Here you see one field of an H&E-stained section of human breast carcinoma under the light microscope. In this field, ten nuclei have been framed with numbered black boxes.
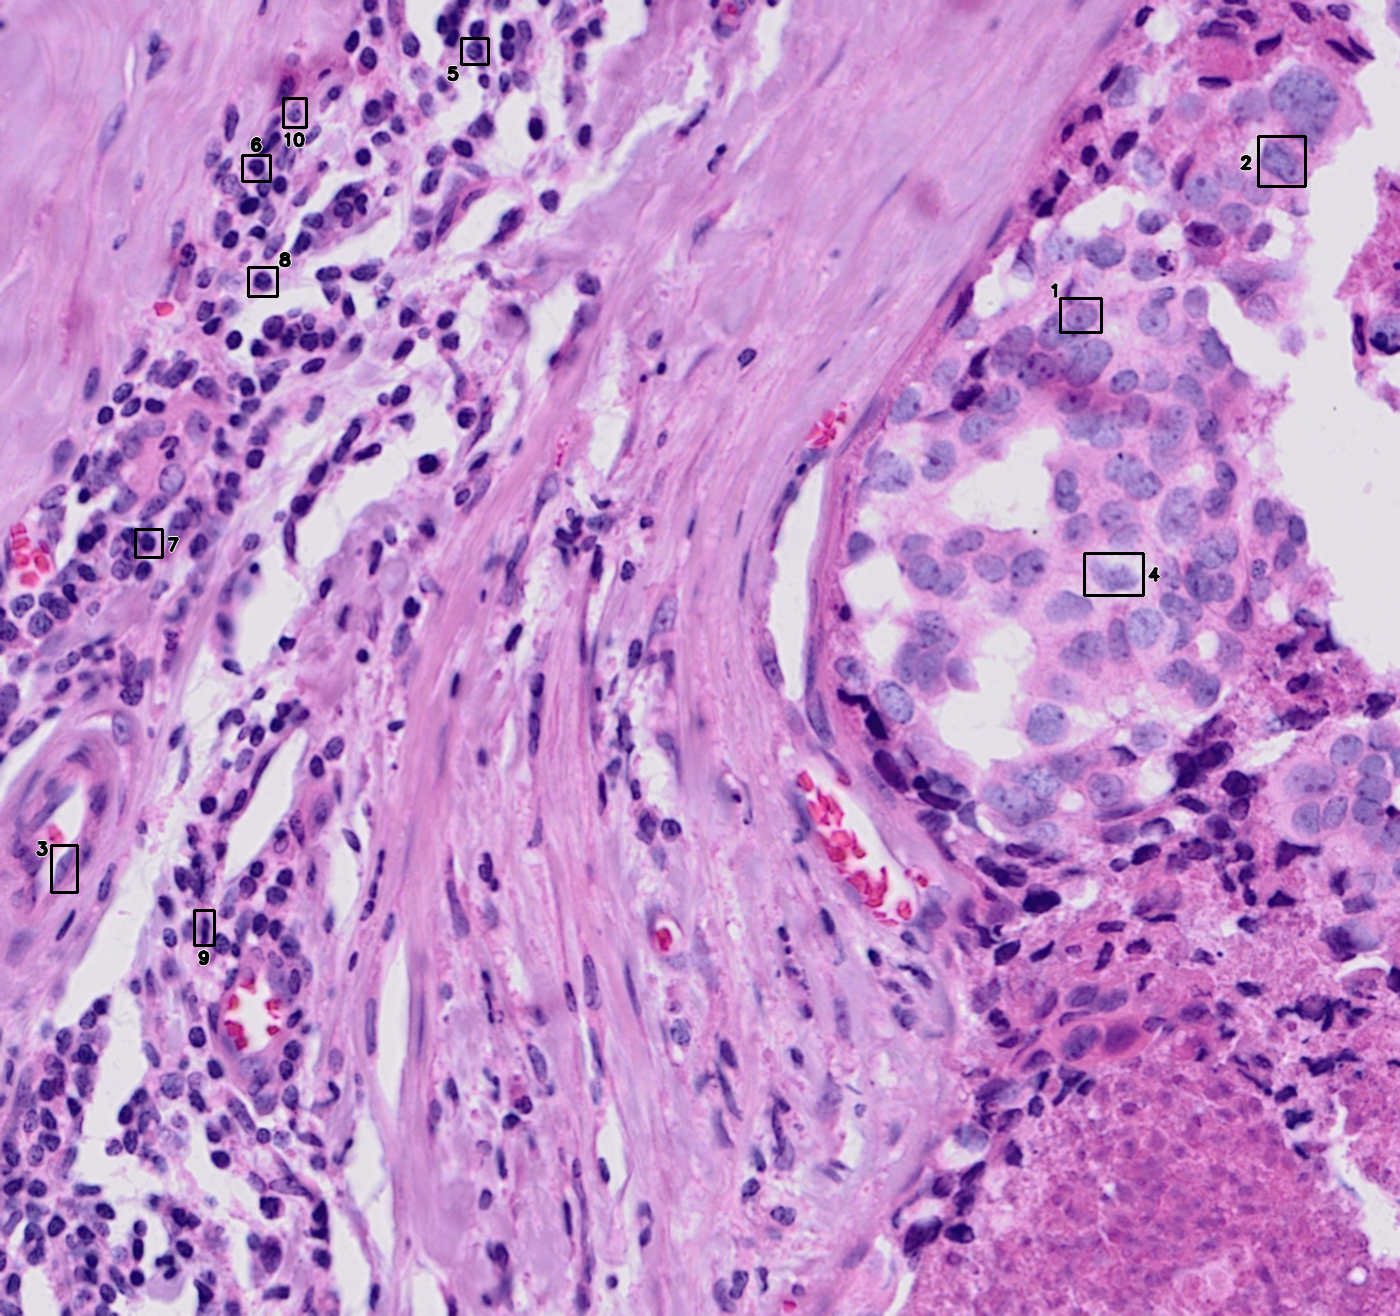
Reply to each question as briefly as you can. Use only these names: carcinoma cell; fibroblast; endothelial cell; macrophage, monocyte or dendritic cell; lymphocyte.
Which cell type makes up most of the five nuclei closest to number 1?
carcinoma cell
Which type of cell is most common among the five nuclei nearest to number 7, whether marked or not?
lymphocyte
